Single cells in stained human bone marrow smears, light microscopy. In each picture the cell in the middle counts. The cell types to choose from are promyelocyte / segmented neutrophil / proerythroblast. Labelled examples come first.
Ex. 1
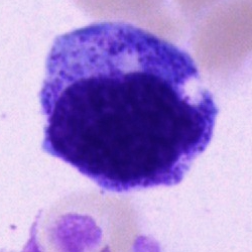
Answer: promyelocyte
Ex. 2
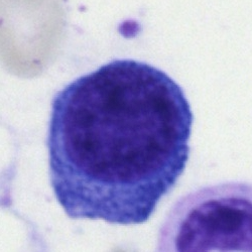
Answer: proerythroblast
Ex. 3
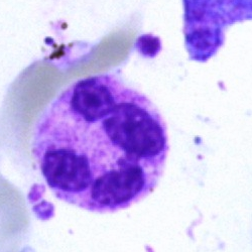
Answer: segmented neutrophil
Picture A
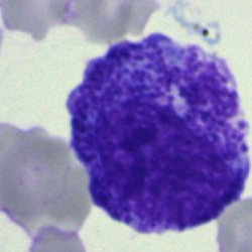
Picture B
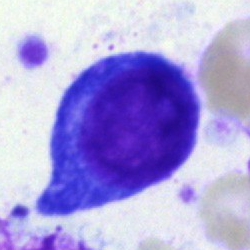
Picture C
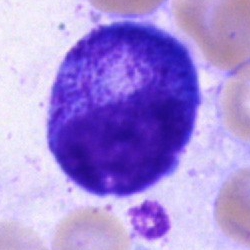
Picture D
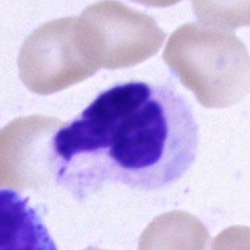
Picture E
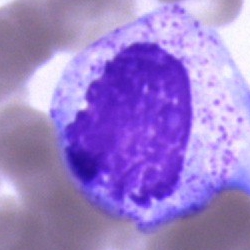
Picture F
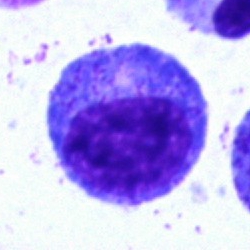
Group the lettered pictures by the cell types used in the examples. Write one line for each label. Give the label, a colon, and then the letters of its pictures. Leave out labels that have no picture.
promyelocyte: A, C, E, F
segmented neutrophil: D
proerythroblast: B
